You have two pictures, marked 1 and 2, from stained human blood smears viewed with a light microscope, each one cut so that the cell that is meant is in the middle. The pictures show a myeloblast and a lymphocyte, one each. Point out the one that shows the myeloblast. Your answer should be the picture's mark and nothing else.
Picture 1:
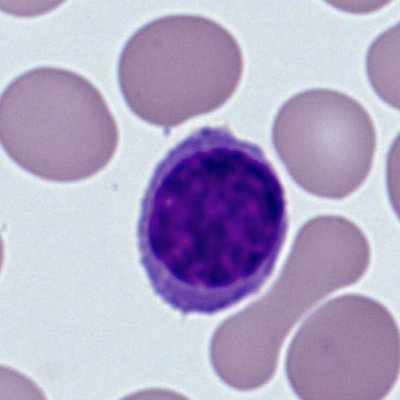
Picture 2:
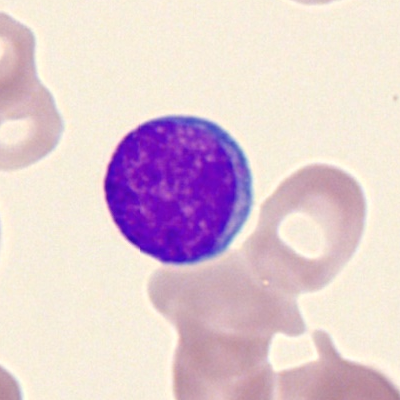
2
